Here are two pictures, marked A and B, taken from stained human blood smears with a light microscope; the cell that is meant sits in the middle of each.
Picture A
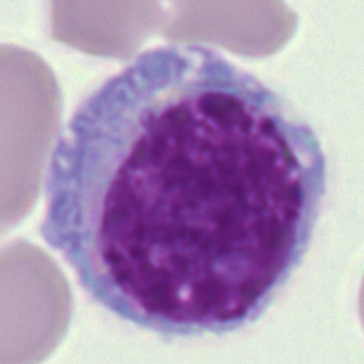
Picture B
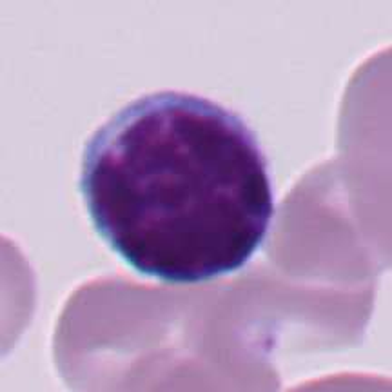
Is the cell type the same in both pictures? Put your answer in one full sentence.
No. Picture A shows a plasma cell, but picture B shows a typical lymphocyte.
